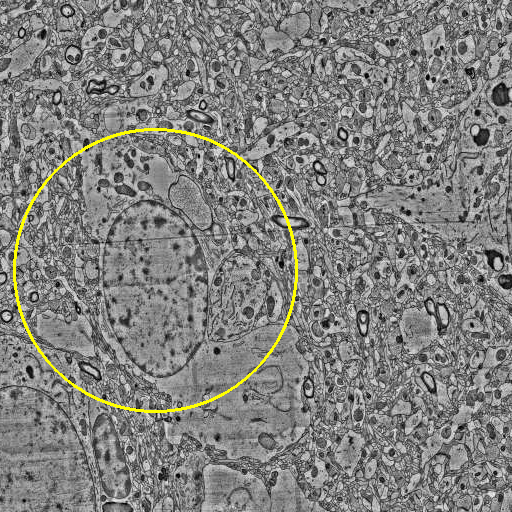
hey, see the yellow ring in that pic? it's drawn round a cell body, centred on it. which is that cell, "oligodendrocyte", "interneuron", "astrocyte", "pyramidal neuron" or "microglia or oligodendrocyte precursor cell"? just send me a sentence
The cell in the ring is an astrocyte.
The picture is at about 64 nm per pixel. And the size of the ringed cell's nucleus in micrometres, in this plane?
Roughly 11 by 7 micrometers, clearly longer than it is wide in this plane.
